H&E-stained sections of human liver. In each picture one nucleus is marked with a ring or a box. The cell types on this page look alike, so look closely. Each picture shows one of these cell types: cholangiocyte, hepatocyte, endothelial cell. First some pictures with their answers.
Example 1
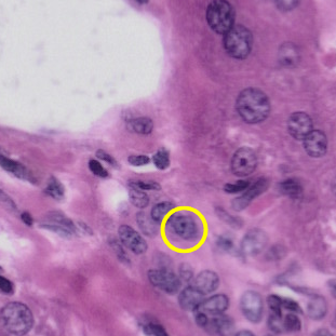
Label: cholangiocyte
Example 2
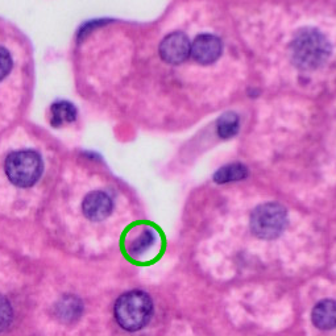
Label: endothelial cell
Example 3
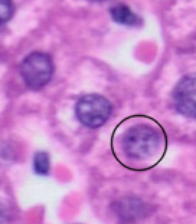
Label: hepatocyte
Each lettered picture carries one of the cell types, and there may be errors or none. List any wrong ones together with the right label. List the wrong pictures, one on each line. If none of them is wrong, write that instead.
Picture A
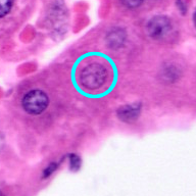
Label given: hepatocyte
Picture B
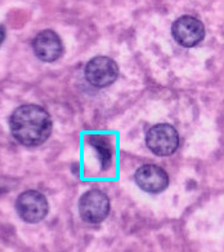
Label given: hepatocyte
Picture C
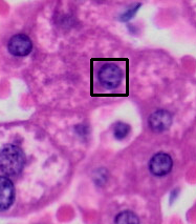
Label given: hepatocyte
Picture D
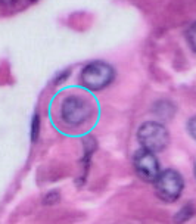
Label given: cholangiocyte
B should be endothelial cell, not hepatocyte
